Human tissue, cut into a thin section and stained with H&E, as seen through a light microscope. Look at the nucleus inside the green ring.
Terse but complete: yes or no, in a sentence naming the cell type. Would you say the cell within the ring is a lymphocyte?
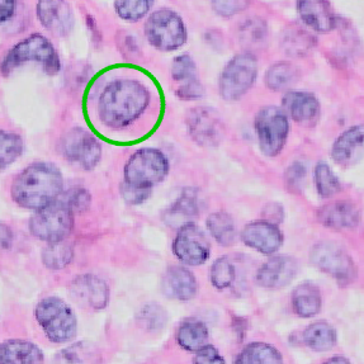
No, not a lymphocyte: the cell within the ring is a carcinoma cell.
